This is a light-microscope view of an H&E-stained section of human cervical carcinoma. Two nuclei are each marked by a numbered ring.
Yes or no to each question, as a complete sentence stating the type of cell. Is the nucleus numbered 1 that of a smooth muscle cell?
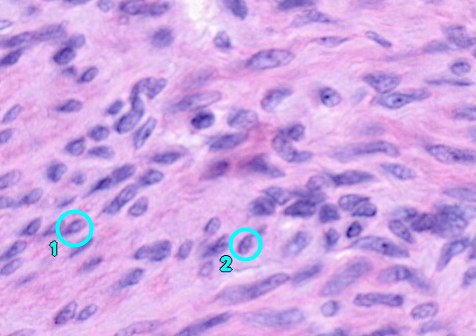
Yes, the cell to which number 1 refers is a smooth muscle cell.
